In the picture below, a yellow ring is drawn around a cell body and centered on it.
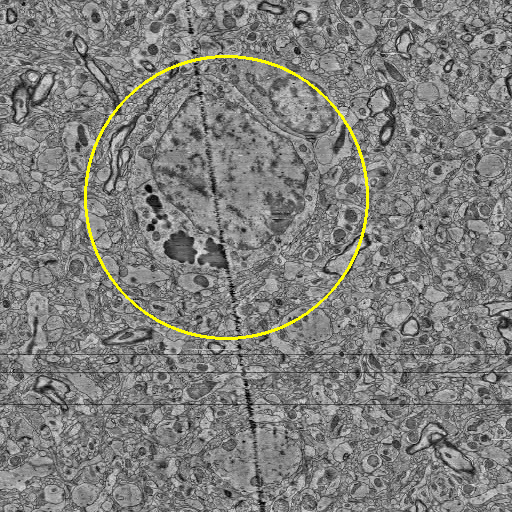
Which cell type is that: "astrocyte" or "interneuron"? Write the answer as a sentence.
The cell centered in the ring is an interneuron.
